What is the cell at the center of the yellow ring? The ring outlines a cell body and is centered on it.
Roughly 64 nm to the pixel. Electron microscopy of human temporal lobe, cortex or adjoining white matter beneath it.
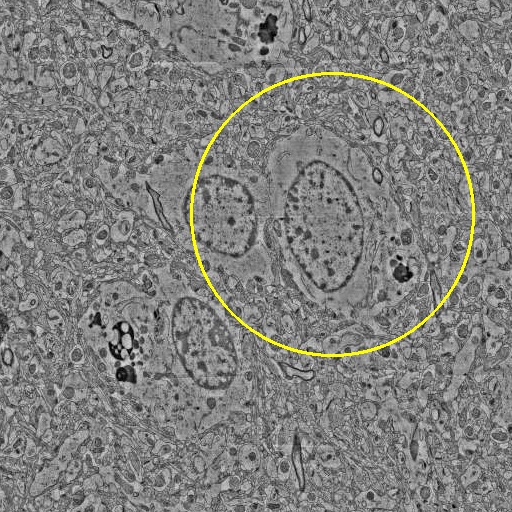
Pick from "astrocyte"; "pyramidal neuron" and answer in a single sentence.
The yellow ring is centered on an astrocyte.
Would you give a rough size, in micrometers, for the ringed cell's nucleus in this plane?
In this plane, about 8 micrometres in length and 6 in width.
